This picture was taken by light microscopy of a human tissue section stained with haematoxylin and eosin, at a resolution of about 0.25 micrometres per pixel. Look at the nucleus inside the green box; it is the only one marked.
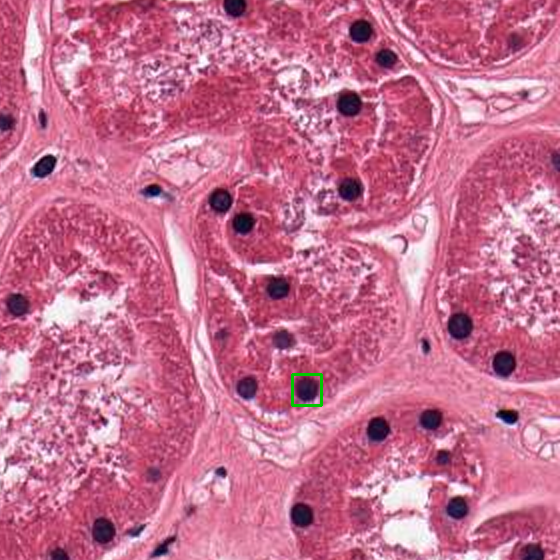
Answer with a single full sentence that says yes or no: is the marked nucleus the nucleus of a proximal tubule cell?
Yes, a proximal tubule cell is the cell to which the marked nucleus belongs.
